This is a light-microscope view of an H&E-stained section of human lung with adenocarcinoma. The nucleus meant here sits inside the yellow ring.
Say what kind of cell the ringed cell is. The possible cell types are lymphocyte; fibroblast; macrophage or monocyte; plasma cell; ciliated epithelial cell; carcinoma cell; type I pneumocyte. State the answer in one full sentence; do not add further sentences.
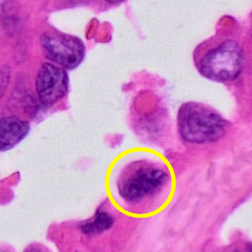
Within this tissue, the ringed cell is a carcinoma cell.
